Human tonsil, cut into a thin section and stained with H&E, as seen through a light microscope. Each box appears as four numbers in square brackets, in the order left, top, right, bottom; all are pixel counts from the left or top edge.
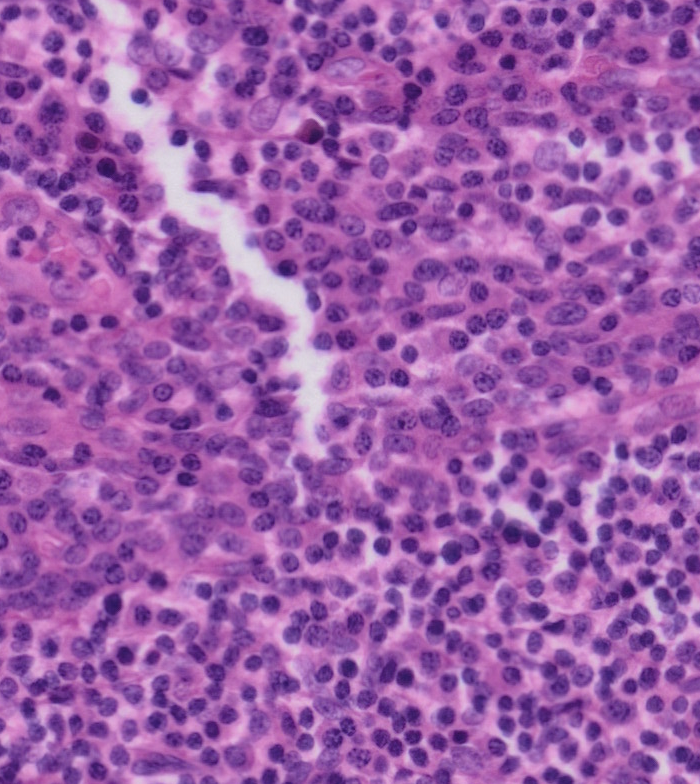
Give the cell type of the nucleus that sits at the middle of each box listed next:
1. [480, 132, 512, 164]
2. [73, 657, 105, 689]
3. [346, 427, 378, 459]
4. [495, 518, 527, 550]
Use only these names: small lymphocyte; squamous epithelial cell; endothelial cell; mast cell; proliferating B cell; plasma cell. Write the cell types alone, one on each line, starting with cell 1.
plasma cell
small lymphocyte
plasma cell
plasma cell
